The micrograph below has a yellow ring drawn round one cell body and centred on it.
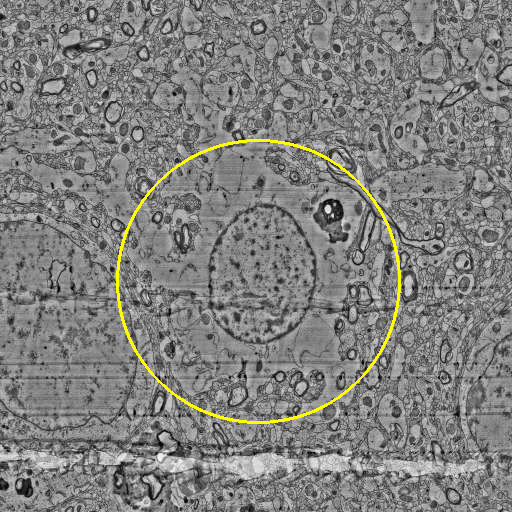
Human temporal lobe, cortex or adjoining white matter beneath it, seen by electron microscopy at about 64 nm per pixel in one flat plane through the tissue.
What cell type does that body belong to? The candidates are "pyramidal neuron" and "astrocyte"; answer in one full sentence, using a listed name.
This is an astrocyte, the cell whose body lies at the centre of the ring.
